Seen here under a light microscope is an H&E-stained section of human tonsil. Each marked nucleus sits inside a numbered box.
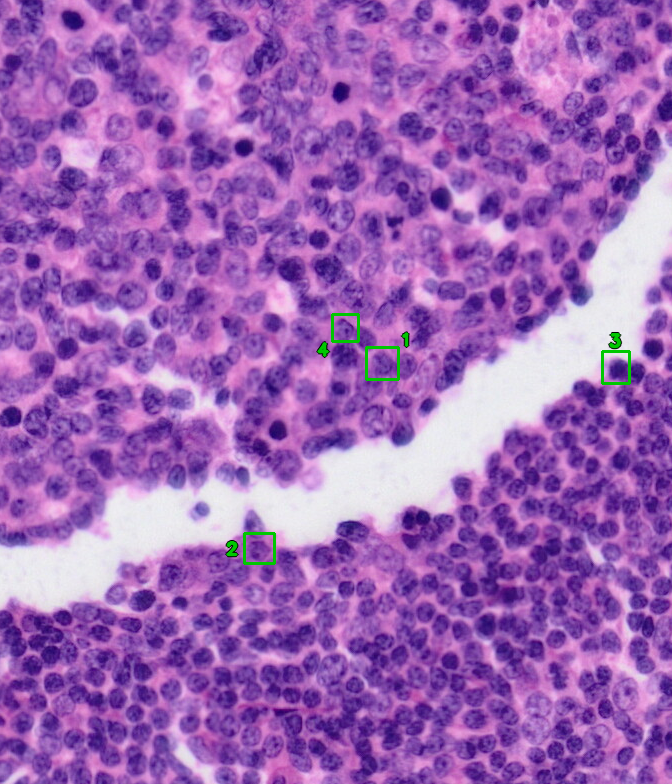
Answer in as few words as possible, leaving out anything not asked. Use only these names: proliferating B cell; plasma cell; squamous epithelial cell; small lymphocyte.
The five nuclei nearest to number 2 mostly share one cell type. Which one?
proliferating B cell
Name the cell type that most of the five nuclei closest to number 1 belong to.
proliferating B cell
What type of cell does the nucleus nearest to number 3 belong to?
small lymphocyte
